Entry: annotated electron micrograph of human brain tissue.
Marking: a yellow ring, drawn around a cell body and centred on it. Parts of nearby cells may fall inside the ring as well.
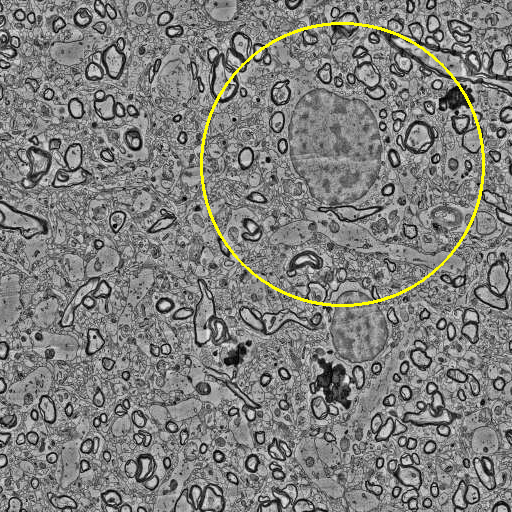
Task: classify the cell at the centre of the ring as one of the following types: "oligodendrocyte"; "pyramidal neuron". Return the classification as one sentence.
The marked cell is classified as an oligodendrocyte.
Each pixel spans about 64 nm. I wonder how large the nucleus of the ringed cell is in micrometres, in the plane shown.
About 8 by 7 micrometers for the nucleus, in this plane.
